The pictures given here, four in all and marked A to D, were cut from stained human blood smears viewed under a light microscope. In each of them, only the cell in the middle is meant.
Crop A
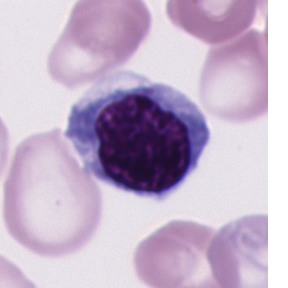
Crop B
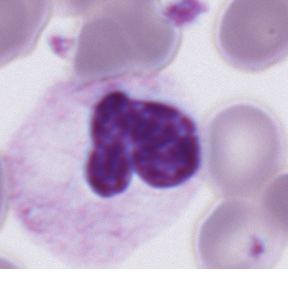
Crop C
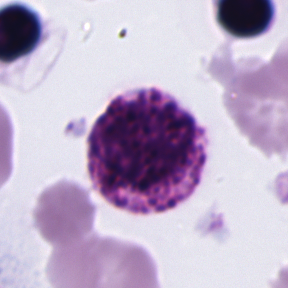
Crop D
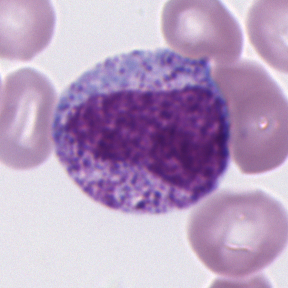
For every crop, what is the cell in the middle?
A: normoblast
B: segmented neutrophil
C: basophil
D: myelocyte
